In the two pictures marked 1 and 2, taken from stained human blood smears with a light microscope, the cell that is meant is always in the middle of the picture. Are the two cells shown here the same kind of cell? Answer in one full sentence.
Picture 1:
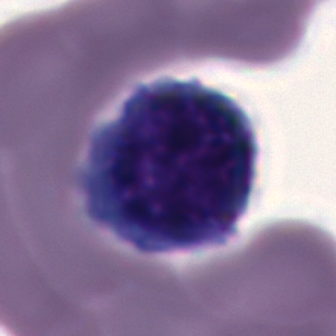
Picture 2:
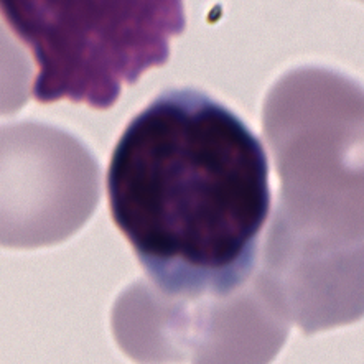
No, picture 1 shows a plasma cell and picture 2 shows a typical lymphocyte.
